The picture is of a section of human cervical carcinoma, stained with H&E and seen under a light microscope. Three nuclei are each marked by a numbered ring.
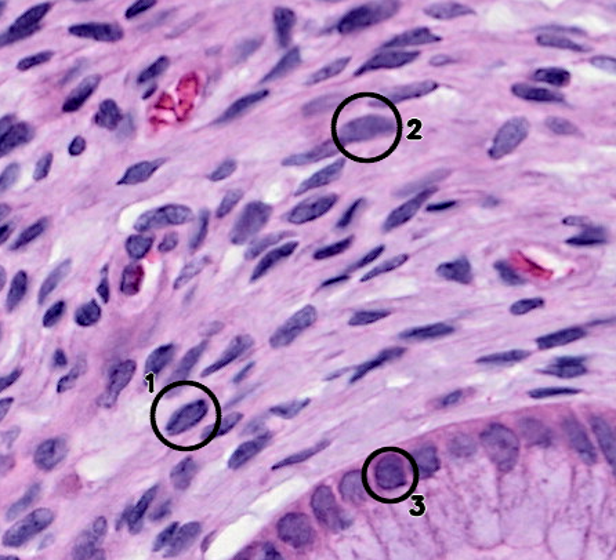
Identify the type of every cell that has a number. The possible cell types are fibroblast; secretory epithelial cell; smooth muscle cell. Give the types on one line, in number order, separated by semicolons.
fibroblast; fibroblast; secretory epithelial cell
